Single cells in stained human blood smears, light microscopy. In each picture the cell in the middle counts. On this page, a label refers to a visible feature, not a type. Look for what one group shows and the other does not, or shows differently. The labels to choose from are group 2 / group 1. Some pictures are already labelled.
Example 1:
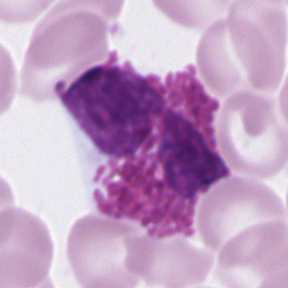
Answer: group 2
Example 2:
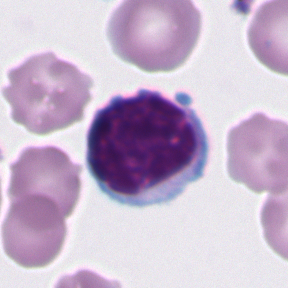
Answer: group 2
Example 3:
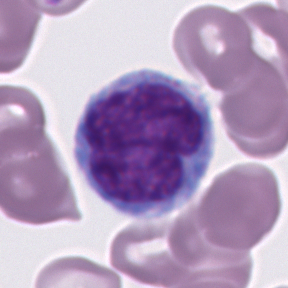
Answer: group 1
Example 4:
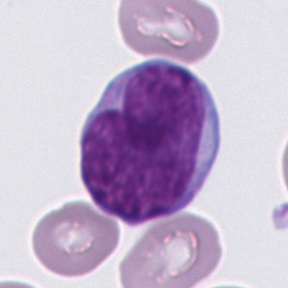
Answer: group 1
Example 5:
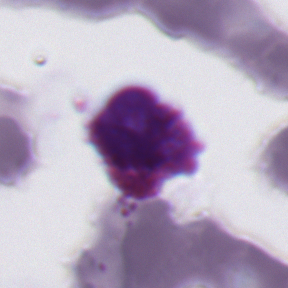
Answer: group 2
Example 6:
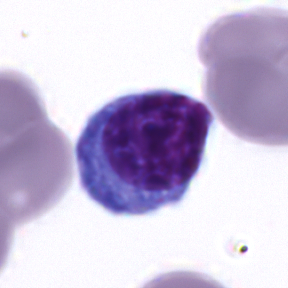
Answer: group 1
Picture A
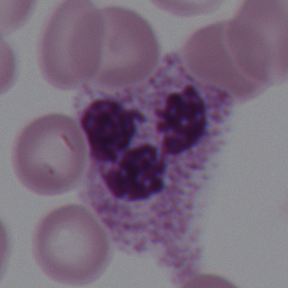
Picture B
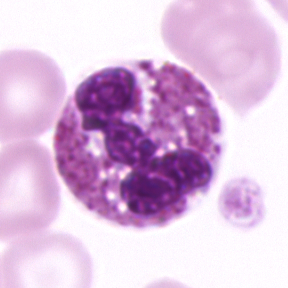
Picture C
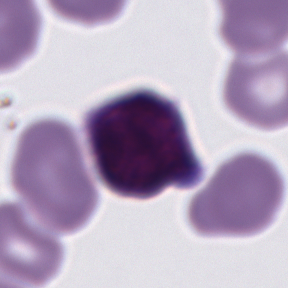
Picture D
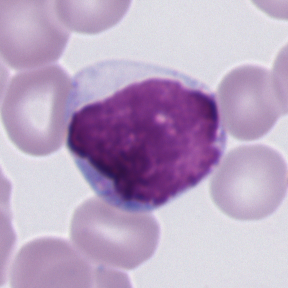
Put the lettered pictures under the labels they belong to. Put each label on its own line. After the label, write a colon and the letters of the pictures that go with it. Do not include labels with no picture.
group 2: A, C
group 1: B, D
